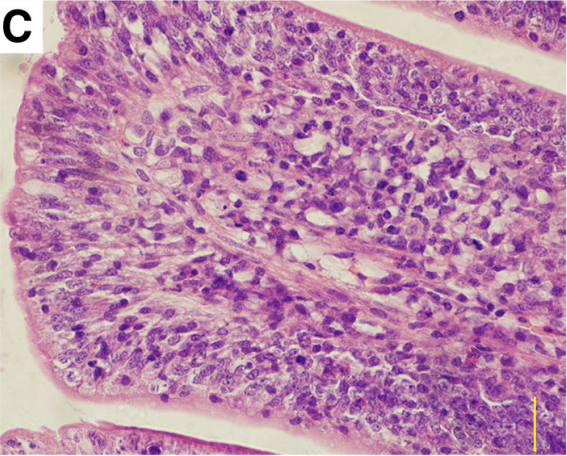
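Intestinal villus, cut longitudinally, covered by a single layer of tall columnar epithelial cells. The core of the villus is densely crowded with small cells with round, dark purple nuclei. Scattered clear, unstained spaces lie between these cells in the core. A narrow lumen separates this villus from a neighbouring one at the lower edge.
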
